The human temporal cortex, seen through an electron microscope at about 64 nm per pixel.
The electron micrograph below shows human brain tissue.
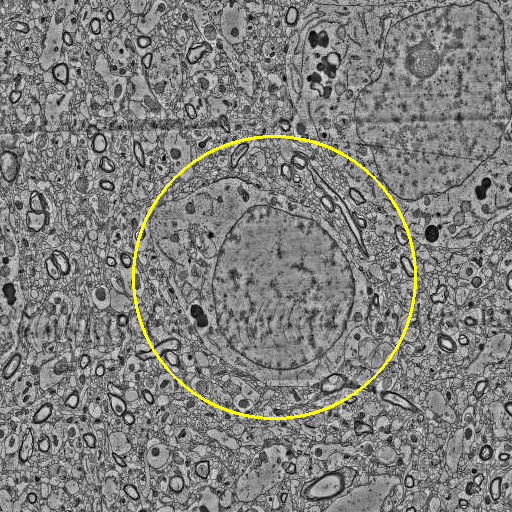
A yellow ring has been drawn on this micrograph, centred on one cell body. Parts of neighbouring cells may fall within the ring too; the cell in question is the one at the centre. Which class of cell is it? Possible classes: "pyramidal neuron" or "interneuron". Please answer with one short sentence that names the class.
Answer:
In the centre of the ring sits a pyramidal neuron.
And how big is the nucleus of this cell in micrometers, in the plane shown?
Roughly 11 by 9 micrometres in this plane, for the nucleus of the ringed cell.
